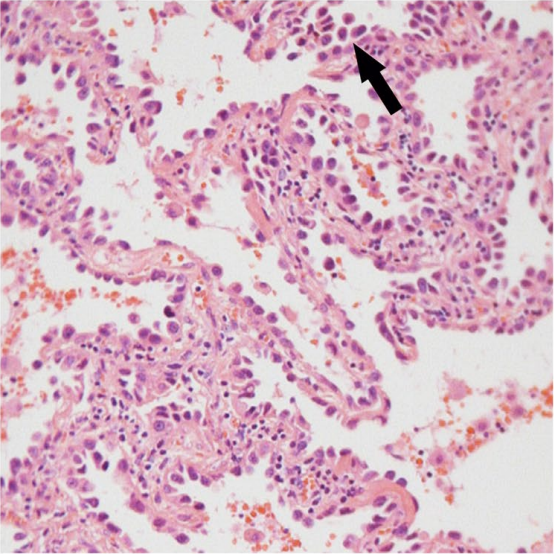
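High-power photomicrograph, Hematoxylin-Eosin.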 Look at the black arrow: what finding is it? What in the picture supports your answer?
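Lepidic and stacking growth pattern. Plump cells with enlarged dark nuclei line the alveolar walls in a continuous row. In places the lining cells are crowded and piled in more than one layer.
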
